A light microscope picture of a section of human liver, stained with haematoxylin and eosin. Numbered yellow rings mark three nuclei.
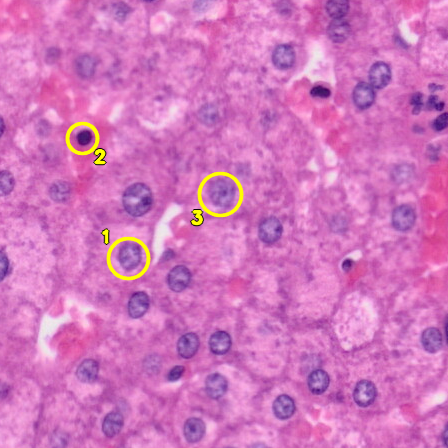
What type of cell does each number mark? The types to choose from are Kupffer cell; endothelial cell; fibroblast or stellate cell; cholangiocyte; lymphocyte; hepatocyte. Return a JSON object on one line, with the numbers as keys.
{"1": "hepatocyte", "2": "lymphocyte", "3": "hepatocyte"}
